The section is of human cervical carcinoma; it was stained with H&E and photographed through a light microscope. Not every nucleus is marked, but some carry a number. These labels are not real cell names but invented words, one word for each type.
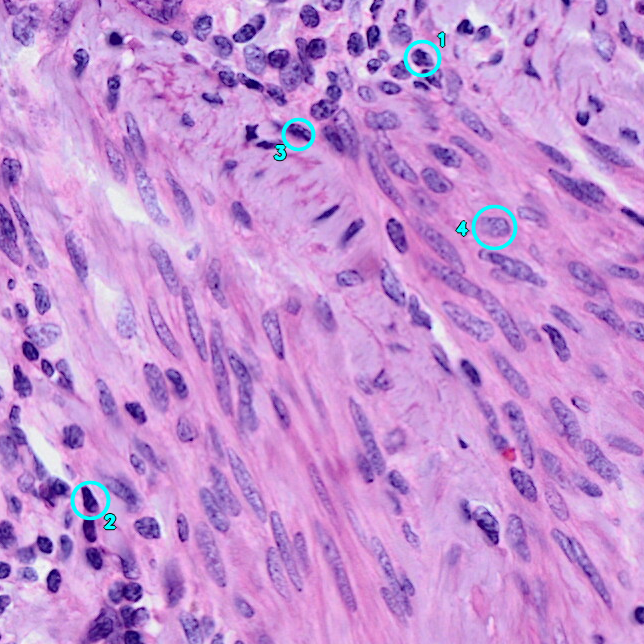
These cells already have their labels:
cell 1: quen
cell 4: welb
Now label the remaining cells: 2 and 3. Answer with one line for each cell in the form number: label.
2: quen
3: quen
